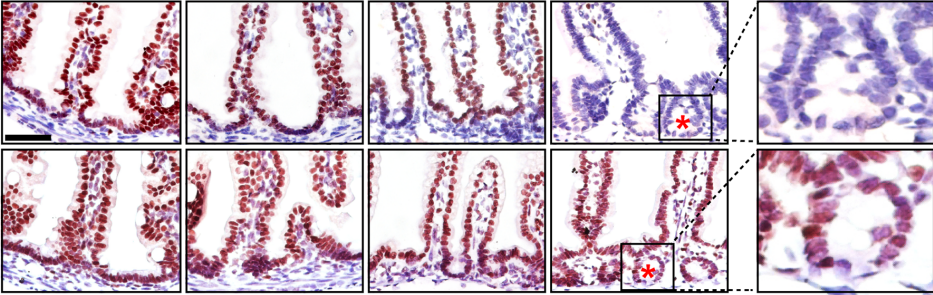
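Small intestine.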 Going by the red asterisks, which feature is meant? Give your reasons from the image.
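The asterisks sit in small round epithelial pockets at the base of the villi. In the enlargements, the lower pocket has red-brown nuclei while the upper one has blue nuclei. That points to this answer: crypts of Lieberkuhn.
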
